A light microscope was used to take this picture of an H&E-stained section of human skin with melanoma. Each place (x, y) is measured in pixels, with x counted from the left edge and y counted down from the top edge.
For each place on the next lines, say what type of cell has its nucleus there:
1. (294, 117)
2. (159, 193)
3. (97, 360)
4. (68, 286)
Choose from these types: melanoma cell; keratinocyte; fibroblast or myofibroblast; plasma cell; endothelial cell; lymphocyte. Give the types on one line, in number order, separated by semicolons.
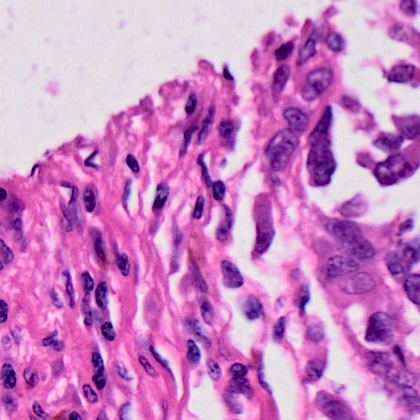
melanoma cell; plasma cell; plasma cell; fibroblast or myofibroblast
